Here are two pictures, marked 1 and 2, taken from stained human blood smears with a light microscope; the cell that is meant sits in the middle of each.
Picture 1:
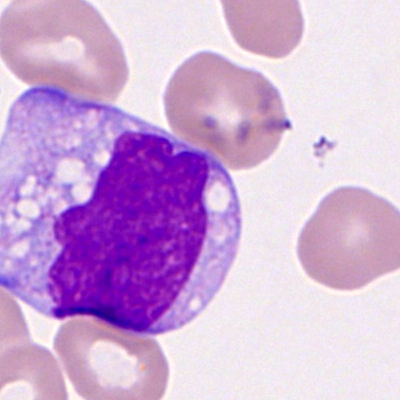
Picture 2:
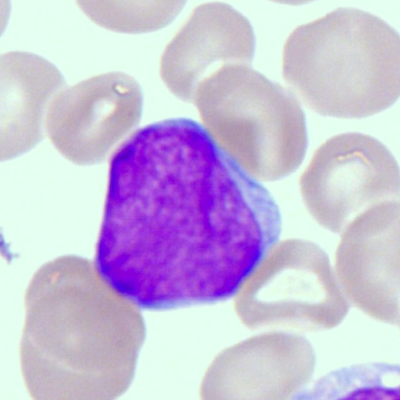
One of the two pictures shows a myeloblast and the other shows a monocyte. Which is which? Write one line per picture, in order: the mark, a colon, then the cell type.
1: monocyte
2: myeloblast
